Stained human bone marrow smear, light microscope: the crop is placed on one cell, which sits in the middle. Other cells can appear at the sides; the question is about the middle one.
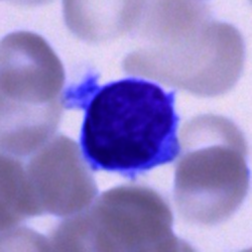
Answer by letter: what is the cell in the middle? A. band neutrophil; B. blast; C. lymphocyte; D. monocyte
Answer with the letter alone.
C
